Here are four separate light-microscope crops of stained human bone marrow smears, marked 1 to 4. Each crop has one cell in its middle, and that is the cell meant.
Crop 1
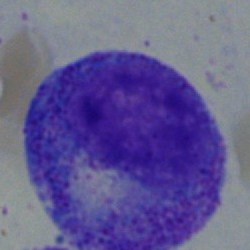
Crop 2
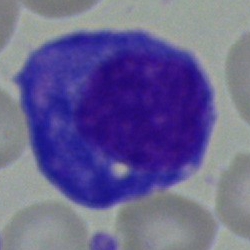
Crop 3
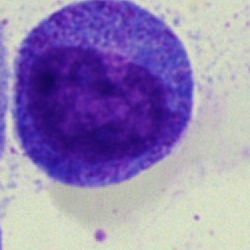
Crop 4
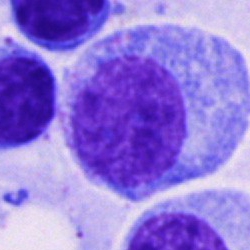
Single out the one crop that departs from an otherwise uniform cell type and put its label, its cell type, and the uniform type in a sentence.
The exception is crop 2: it is a plasma cell, and the others are all promyelocytes.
